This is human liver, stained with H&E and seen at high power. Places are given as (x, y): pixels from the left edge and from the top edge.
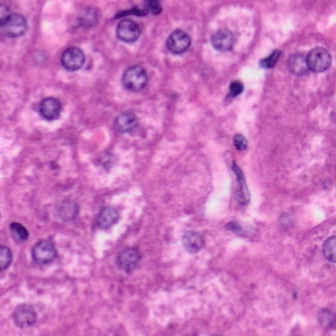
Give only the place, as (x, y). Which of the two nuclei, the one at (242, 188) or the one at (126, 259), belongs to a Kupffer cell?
(242, 188)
